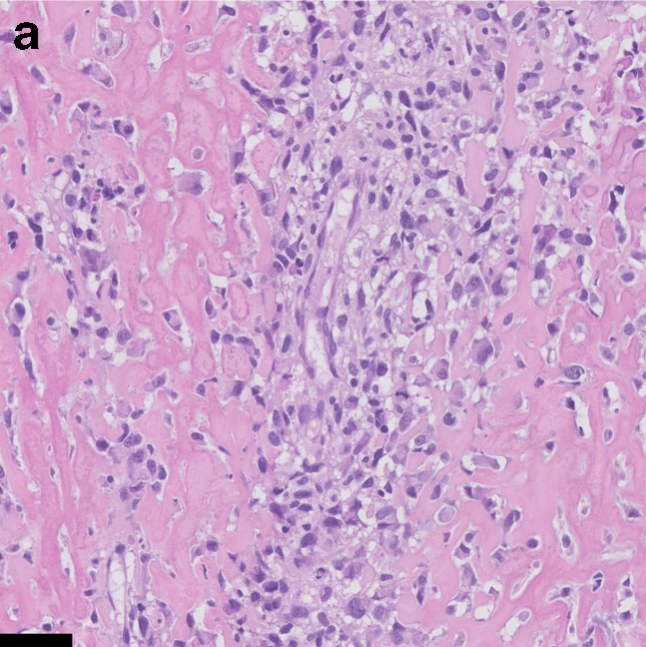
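This is a conventional osteoblastic osteosarcoma, made of atypical tumour cells with abundant osteoid deposited between them. The cells have enlarged, dark purple, irregular nuclei of varying size and shape, and some have clear or pale cytoplasm. The osteoid is pink and glassy, forming irregular lace-like strands and sheets, with cells trapped in small spaces within it. A denser, more cellular band of tumour cells runs down the middle of the field, with osteoid-rich areas on either side.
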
